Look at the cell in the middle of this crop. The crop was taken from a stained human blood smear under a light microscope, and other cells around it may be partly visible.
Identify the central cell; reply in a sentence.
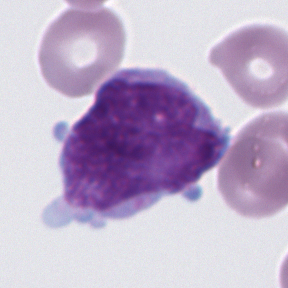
This crop has an atypical promyelocyte at its centre.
